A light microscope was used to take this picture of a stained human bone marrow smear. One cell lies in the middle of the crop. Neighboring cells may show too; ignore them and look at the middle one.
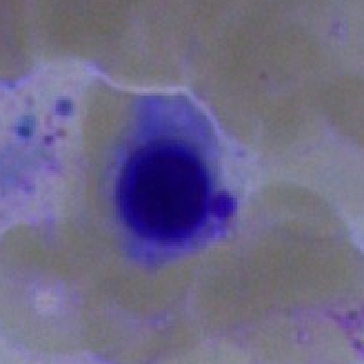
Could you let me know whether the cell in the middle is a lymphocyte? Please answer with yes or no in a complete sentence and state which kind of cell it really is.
No, the cell in the middle is recognised as an erythroblast rather than a lymphocyte.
